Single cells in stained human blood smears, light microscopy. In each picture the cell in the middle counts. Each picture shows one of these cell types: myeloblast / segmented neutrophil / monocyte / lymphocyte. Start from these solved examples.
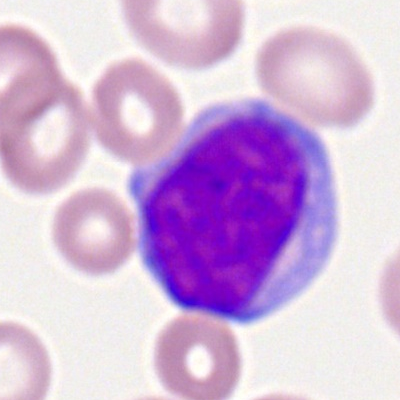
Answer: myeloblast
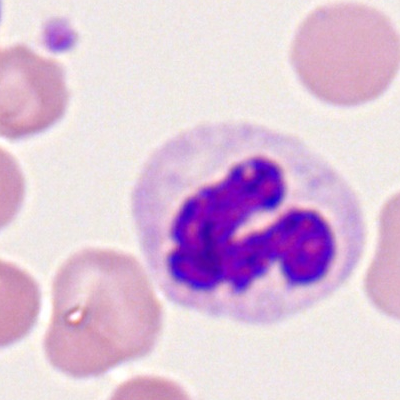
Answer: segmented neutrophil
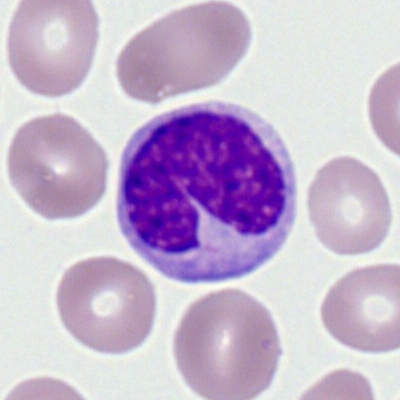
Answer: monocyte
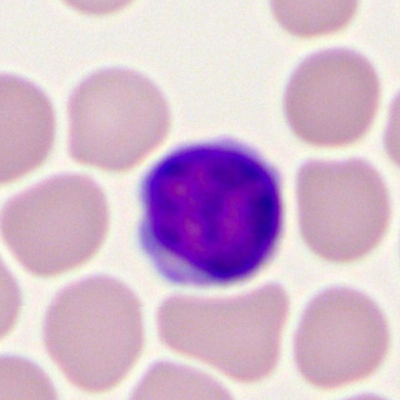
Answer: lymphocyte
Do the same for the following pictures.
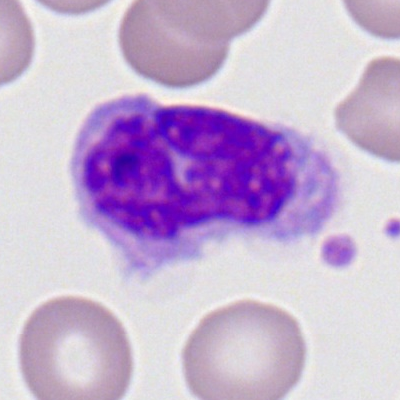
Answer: monocyte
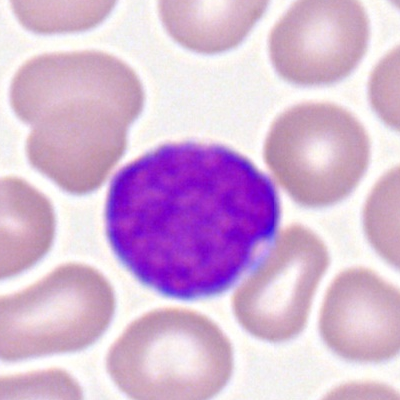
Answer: myeloblast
